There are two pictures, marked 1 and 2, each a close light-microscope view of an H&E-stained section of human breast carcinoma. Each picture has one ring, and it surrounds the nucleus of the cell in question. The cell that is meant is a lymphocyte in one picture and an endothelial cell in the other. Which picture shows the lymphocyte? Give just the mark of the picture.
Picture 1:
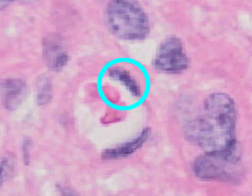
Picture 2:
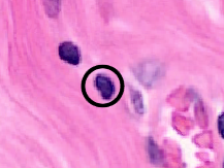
2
